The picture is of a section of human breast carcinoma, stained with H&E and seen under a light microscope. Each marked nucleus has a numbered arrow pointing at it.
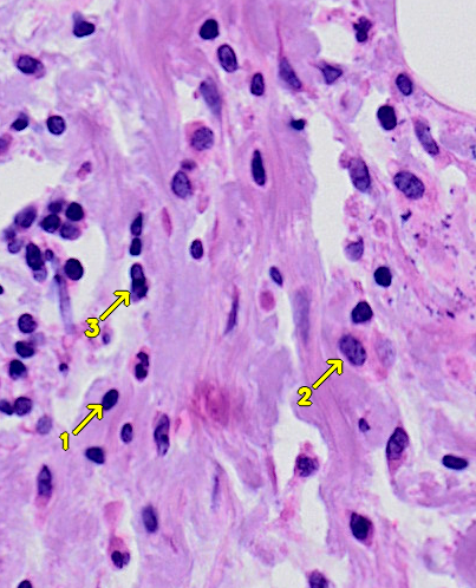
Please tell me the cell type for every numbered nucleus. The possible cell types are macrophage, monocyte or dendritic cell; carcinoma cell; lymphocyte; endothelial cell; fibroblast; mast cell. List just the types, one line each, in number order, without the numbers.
lymphocyte
mast cell
lymphocyte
